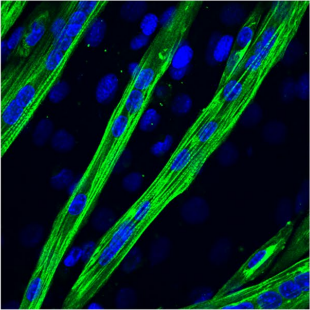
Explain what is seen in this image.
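Faint transverse striations can be made out within the green cytoplasm. Between the tubes lie further blue nuclei of cells without green staining.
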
